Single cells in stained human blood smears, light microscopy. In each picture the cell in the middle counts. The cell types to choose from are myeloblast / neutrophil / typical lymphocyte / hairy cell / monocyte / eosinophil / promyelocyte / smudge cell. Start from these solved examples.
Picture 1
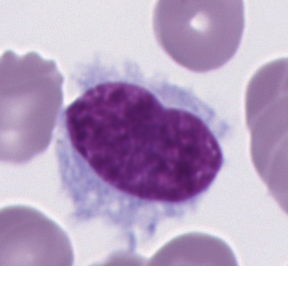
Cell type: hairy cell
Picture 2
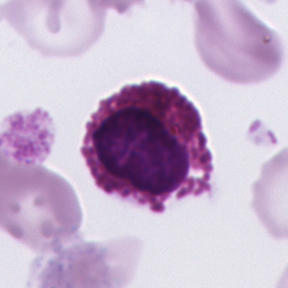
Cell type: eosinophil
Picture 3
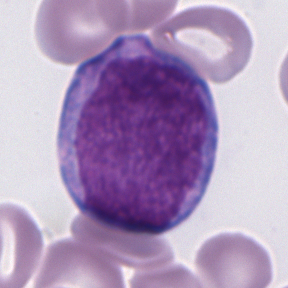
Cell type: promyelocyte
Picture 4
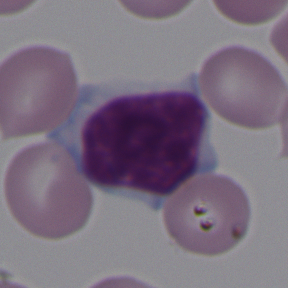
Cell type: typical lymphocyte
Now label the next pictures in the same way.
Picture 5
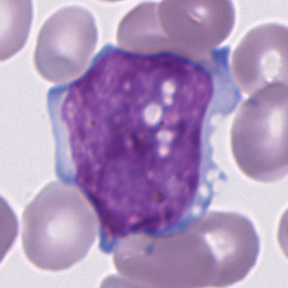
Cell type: myeloblast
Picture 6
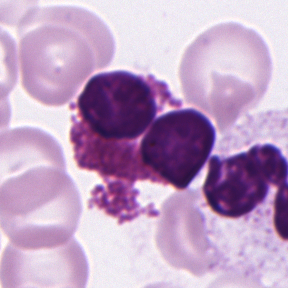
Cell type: eosinophil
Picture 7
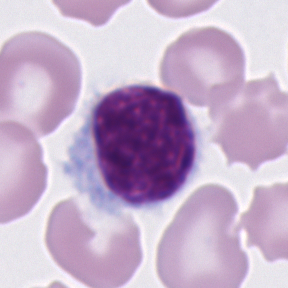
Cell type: hairy cell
